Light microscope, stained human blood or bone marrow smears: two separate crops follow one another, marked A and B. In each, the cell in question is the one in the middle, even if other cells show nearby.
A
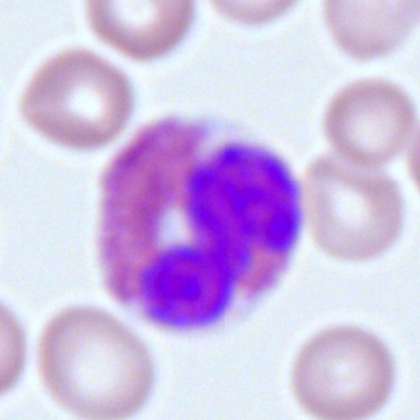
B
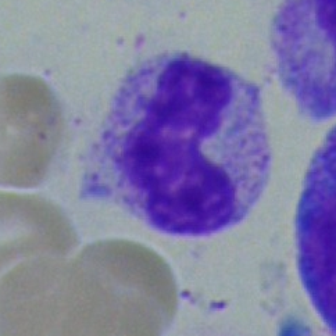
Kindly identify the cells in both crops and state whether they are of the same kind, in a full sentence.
No, crop A features an eosinophil, and crop B features a band neutrophil.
